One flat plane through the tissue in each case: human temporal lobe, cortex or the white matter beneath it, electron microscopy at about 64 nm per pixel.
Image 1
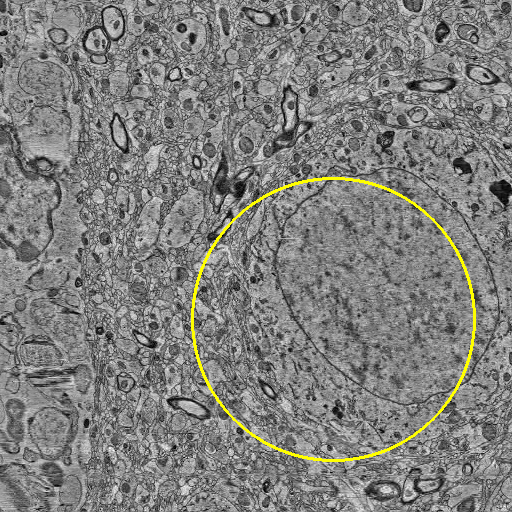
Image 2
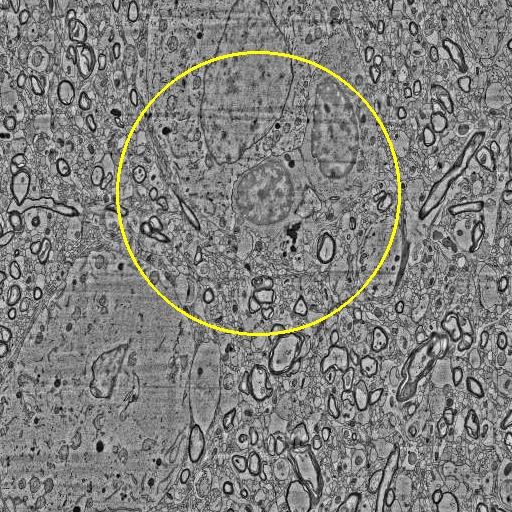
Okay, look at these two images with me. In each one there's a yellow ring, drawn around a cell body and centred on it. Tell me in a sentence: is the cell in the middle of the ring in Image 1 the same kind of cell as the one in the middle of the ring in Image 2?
No, they're two kinds of cell.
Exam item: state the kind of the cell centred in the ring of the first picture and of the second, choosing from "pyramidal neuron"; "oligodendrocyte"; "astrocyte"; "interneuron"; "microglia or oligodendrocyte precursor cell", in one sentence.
The first picture shows a pyramidal neuron at the ring centre and the second shows an oligodendrocyte.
